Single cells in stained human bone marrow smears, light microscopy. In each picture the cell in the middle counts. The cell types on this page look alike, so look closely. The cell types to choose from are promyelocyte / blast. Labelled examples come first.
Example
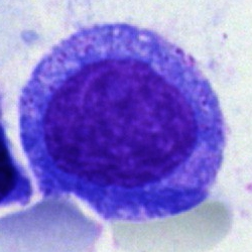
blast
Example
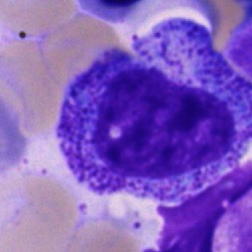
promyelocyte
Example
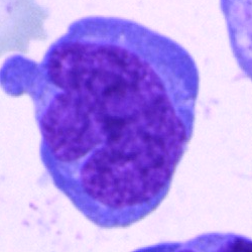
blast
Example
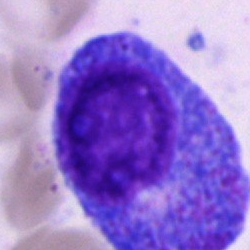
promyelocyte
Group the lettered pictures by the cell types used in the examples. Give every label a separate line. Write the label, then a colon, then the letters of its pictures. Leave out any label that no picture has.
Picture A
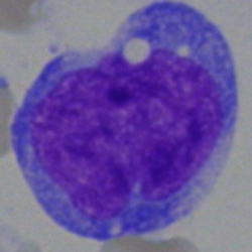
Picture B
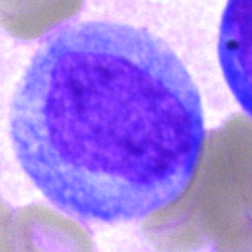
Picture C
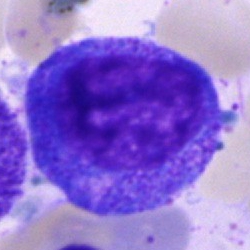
promyelocyte: B, C
blast: A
